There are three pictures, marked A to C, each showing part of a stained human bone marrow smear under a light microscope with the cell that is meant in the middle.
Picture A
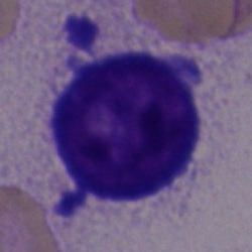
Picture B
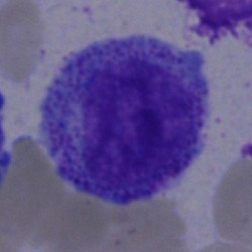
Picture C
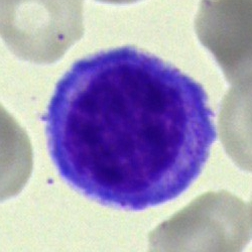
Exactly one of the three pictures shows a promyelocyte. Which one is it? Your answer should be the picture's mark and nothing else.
C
